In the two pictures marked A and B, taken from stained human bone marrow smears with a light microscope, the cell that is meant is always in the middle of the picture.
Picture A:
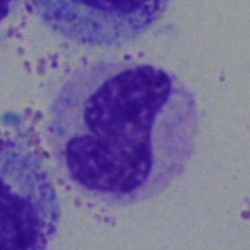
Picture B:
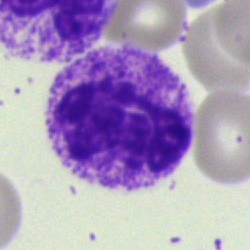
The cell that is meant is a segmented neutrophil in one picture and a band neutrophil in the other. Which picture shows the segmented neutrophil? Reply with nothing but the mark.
B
